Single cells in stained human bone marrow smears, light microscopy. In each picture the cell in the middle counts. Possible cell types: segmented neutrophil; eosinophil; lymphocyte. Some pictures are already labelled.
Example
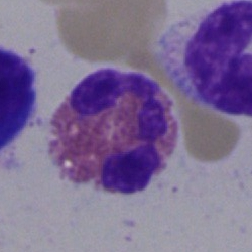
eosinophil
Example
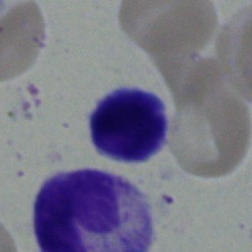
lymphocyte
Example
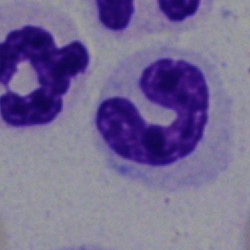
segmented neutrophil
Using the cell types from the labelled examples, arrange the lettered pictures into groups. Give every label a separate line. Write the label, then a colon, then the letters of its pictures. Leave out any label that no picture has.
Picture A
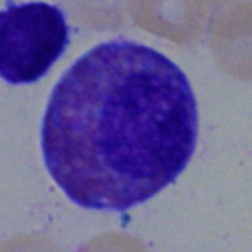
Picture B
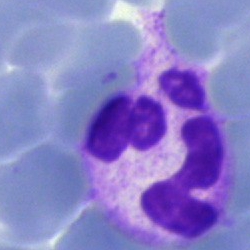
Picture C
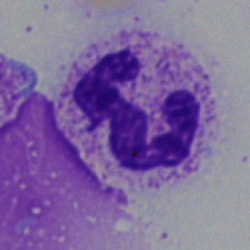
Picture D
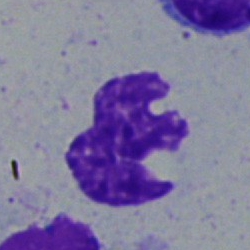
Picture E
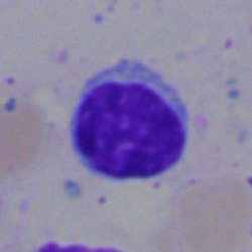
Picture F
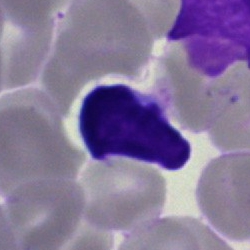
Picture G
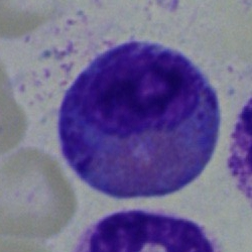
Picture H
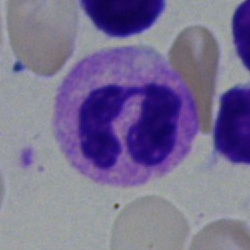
segmented neutrophil: B, C, D, H
eosinophil: A, G
lymphocyte: E, F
